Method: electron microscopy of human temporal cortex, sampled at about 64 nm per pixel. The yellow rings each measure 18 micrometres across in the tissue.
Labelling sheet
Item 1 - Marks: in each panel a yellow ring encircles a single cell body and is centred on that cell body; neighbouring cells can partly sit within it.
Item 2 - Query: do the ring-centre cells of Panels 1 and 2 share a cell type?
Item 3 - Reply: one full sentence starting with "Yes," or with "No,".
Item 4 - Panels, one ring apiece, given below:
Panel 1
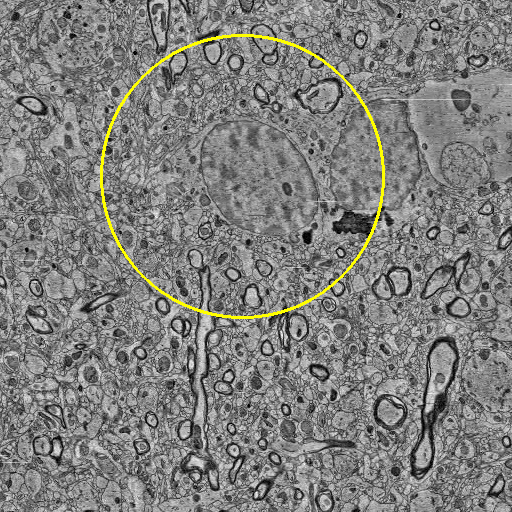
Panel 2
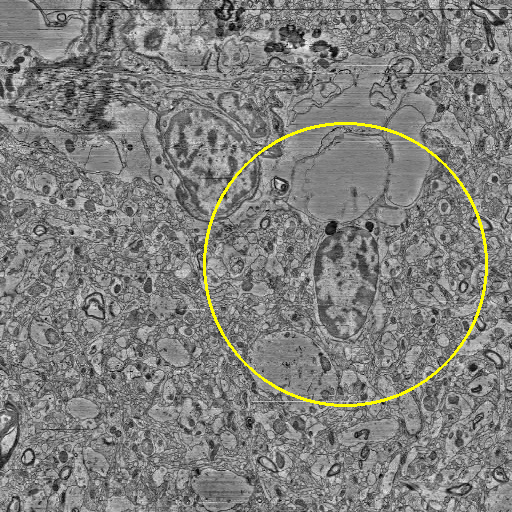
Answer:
No, Panel 1 and Panel 2 show two cell types at the centres of their rings.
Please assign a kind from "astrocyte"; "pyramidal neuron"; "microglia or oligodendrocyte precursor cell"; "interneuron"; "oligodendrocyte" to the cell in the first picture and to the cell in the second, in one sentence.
In the first picture we have an oligodendrocyte, and in the second, a microglial cell or oligodendrocyte precursor cell.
